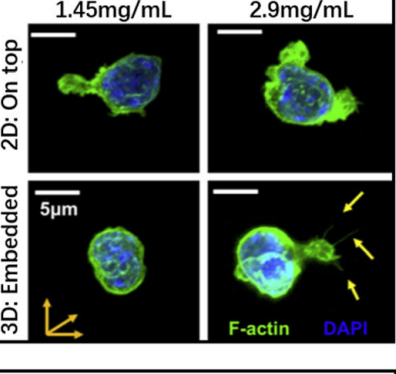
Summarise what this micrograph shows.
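Four single small cells are shown, each with a large rounded blue nucleus occupying most of the cell and a green rim of cortical actin. In the lower row one cell is compact and round, while the other has a bulging extension from which thin filopodial protrusions reach outward, marked by yellow arrows.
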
